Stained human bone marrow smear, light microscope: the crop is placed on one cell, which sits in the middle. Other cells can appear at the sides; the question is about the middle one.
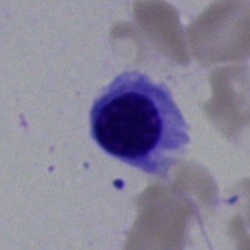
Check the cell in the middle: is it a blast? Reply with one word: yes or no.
no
